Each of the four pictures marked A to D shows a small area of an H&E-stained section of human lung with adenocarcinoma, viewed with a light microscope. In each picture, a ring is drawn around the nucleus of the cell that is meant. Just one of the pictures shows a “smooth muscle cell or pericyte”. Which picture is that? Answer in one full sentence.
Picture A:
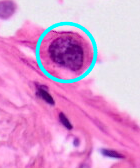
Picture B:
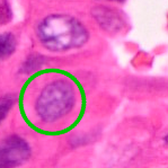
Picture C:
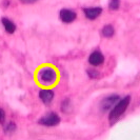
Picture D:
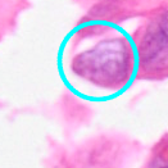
It is picture C that shows the “smooth muscle cell or pericyte”.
